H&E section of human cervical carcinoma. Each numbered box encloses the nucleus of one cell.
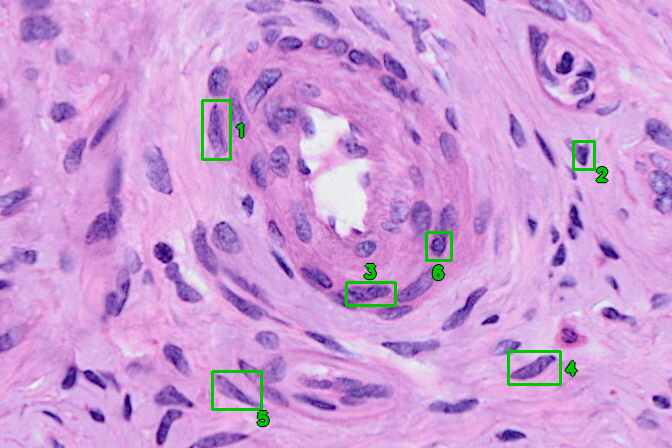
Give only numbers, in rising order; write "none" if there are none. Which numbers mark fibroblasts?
2, 4, 5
